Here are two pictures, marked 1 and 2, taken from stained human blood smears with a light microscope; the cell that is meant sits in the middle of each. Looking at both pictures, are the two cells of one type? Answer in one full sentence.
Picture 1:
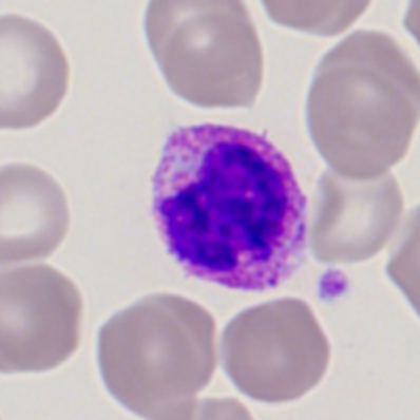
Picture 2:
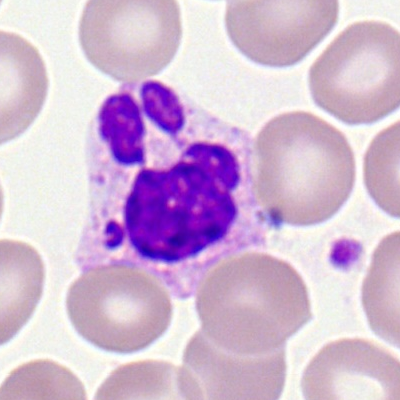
Yes, they are the same type: both are basophils.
